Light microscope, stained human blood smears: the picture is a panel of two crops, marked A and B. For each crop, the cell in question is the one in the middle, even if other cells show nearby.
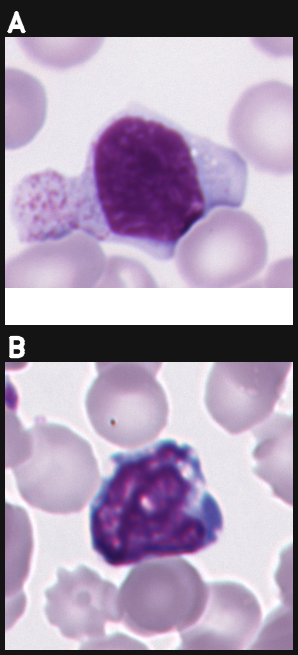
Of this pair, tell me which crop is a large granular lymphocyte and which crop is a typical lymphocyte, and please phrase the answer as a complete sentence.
Crop A is a large granular lymphocyte and crop B is a typical lymphocyte.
